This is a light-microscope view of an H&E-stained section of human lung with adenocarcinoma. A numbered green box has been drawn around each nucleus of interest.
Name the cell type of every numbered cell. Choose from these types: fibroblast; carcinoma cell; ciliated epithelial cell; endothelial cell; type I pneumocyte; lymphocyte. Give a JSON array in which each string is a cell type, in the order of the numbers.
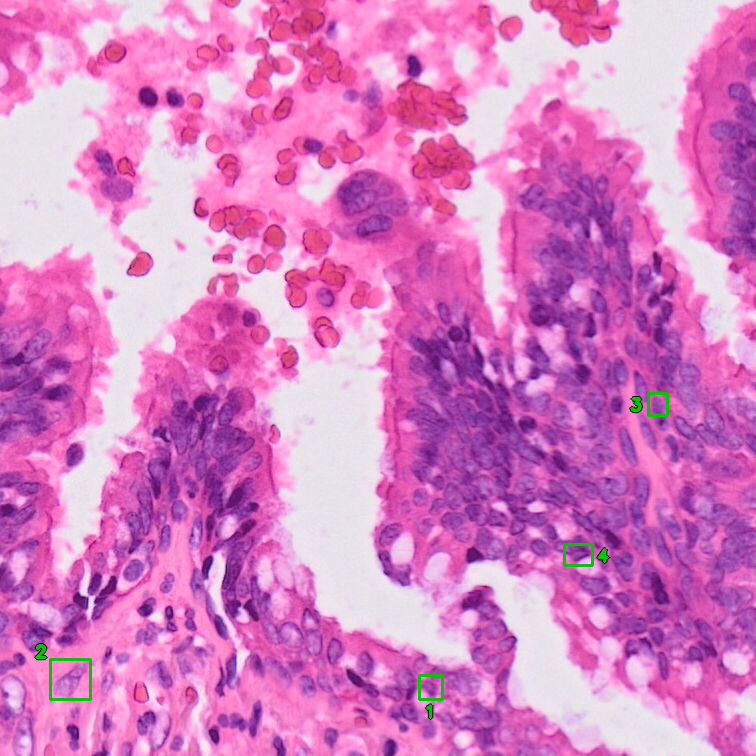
["ciliated epithelial cell", "fibroblast", "ciliated epithelial cell", "ciliated epithelial cell"]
